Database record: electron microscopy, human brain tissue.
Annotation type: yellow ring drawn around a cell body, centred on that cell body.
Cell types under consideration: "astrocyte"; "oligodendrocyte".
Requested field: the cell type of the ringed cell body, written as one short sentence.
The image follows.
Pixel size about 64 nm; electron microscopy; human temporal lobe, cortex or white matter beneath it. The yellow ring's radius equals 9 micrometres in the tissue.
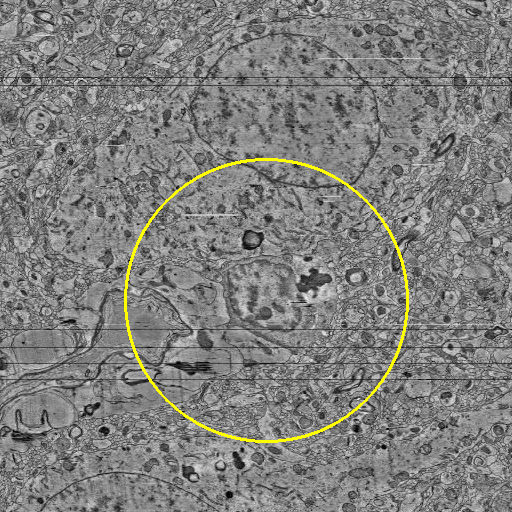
The ringed cell body represents an oligodendrocyte.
